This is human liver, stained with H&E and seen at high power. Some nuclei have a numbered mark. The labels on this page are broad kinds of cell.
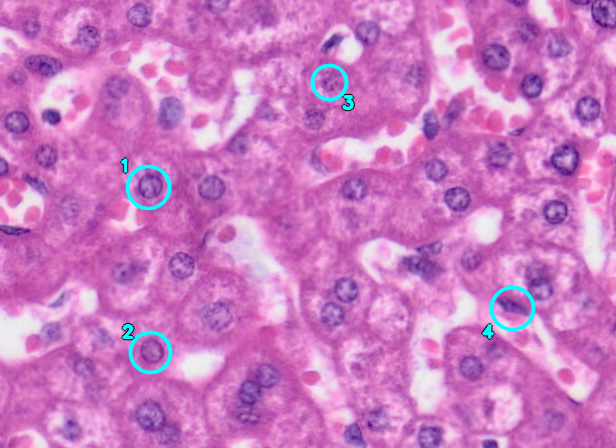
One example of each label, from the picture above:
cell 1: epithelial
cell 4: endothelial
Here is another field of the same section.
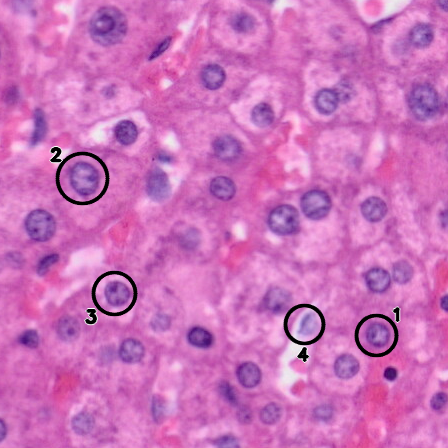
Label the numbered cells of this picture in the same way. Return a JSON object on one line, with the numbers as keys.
{"1": "epithelial", "2": "epithelial", "3": "epithelial", "4": "endothelial"}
